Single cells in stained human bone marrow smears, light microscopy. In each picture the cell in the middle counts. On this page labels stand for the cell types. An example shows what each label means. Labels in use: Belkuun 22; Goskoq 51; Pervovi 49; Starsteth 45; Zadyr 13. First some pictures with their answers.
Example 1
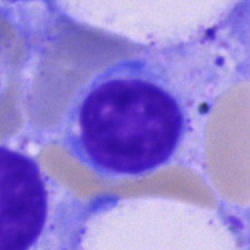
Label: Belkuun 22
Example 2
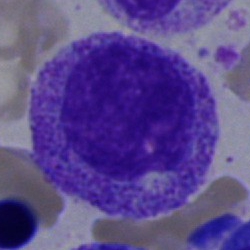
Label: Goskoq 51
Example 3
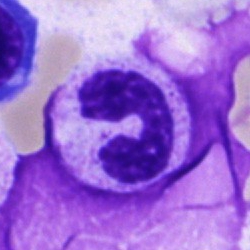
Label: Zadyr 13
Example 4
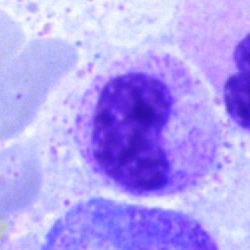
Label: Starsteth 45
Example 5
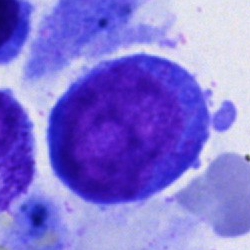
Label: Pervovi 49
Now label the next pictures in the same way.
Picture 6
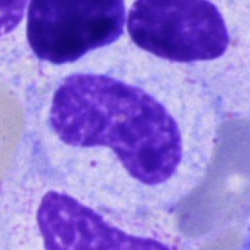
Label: Zadyr 13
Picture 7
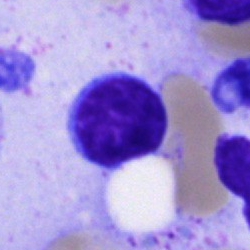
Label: Belkuun 22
